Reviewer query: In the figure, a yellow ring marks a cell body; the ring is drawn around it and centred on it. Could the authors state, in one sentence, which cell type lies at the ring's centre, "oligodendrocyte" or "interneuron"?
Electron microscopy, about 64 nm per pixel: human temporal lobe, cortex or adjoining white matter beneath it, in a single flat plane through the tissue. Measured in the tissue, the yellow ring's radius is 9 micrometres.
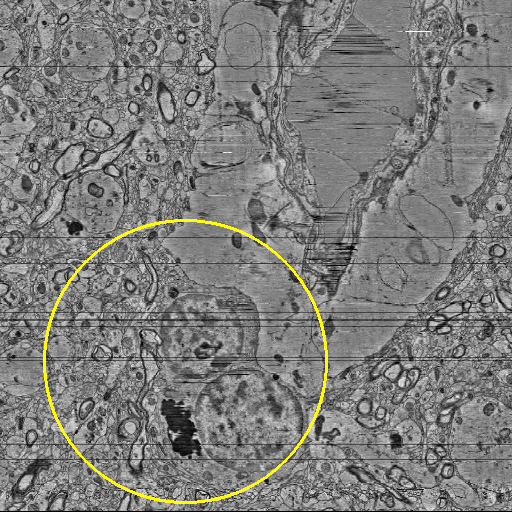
The ring is centred on an oligodendrocyte.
